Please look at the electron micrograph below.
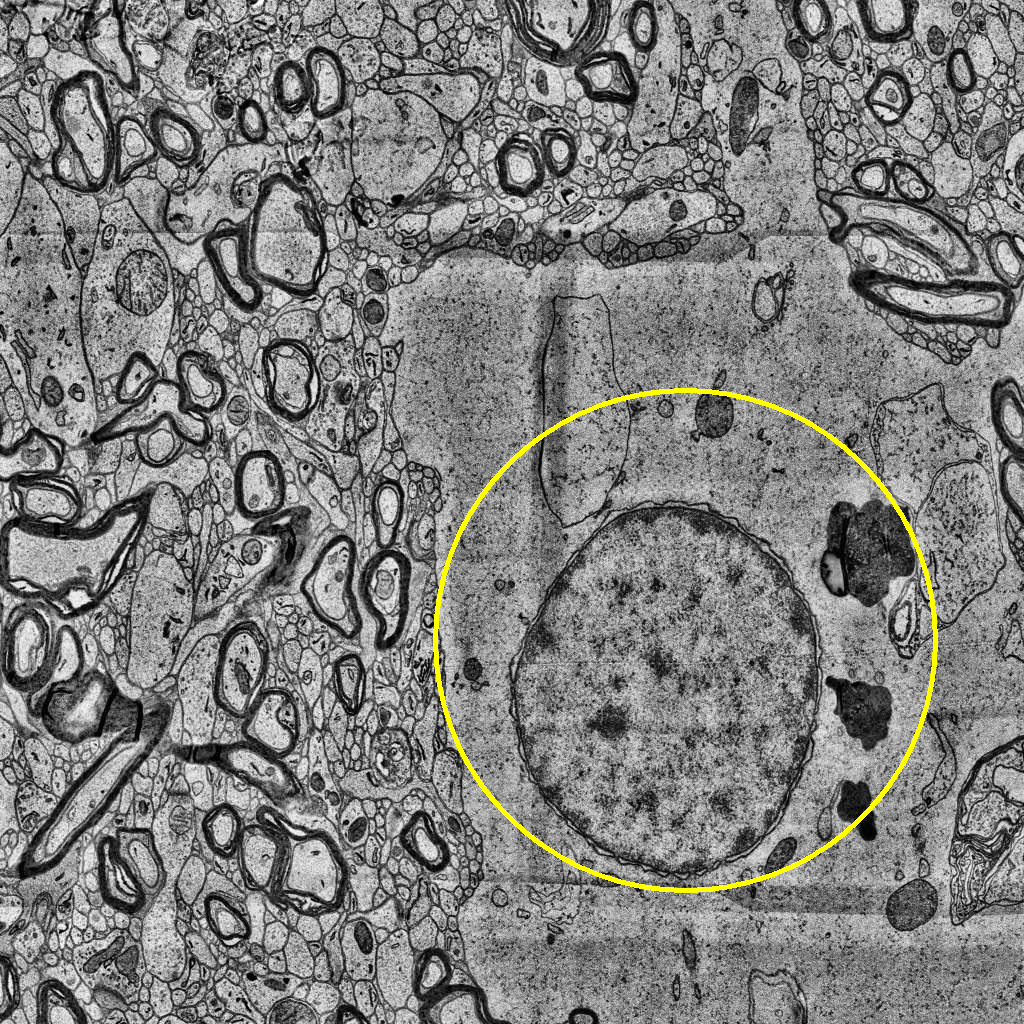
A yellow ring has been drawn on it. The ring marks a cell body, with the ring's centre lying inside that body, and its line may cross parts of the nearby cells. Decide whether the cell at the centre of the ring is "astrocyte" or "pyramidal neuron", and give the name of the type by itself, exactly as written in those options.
astrocyte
